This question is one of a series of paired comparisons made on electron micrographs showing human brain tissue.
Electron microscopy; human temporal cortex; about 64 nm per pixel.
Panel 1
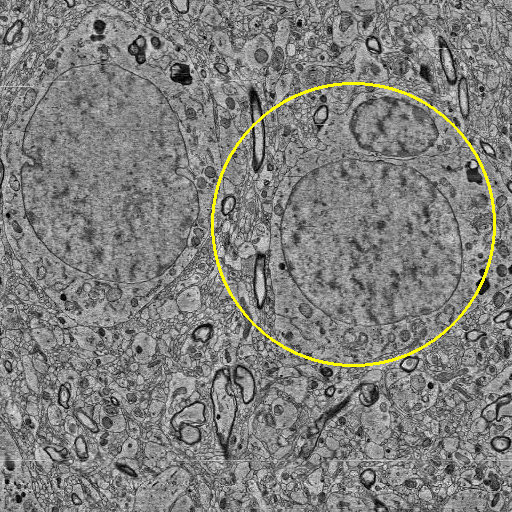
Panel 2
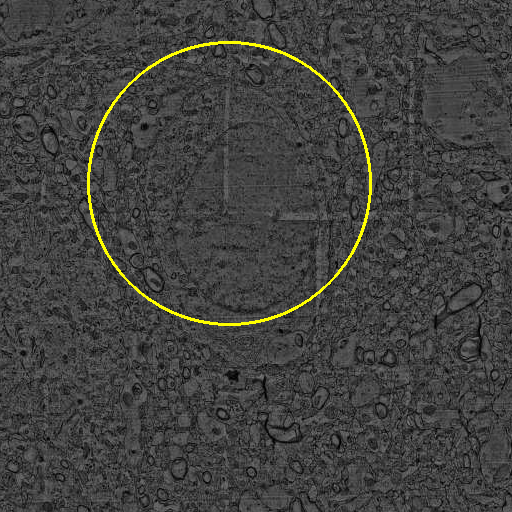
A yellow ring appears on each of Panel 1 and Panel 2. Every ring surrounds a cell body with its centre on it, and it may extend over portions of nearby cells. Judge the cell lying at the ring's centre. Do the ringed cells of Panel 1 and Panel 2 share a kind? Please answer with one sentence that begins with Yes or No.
Yes, the ring-centre cell in Panel 1 and the one in Panel 2 are of one kind.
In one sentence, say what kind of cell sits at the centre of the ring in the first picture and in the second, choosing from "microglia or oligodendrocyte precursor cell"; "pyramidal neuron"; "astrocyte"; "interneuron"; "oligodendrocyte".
Both rings mark an interneuron, one in each picture.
